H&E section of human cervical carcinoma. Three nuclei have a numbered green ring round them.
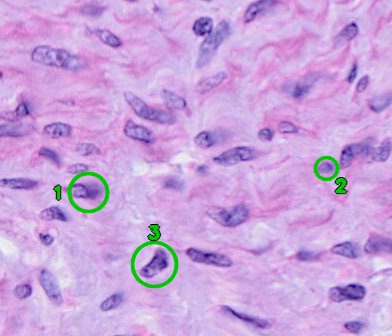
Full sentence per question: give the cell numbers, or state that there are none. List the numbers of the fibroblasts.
Unlike the other numbered cells, cell 3 is a fibroblast.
